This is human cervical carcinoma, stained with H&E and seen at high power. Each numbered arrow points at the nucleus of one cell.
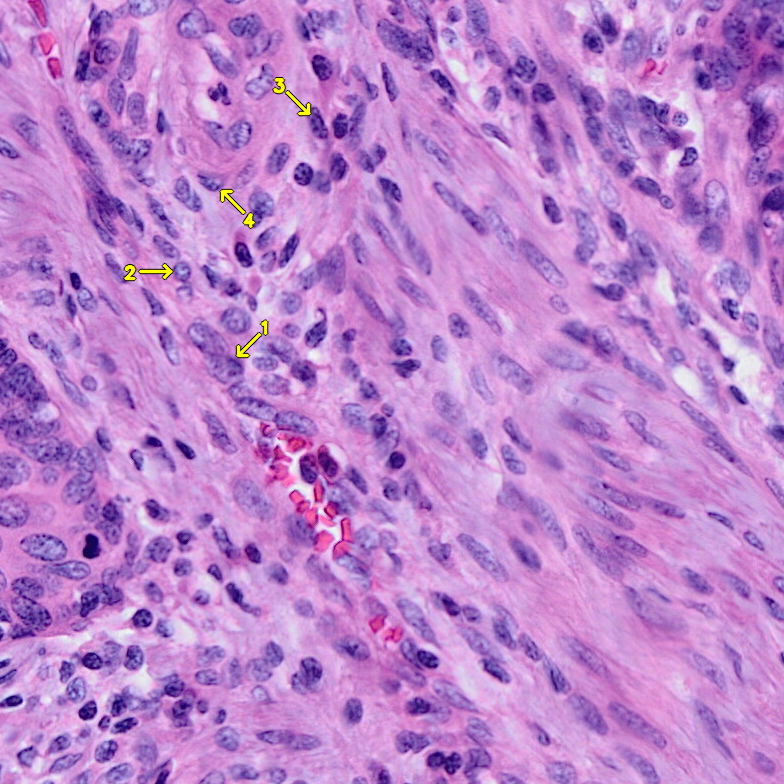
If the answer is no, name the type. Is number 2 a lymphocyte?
No, it is a smooth muscle cell.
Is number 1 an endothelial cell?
Yes.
